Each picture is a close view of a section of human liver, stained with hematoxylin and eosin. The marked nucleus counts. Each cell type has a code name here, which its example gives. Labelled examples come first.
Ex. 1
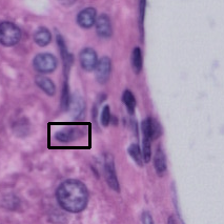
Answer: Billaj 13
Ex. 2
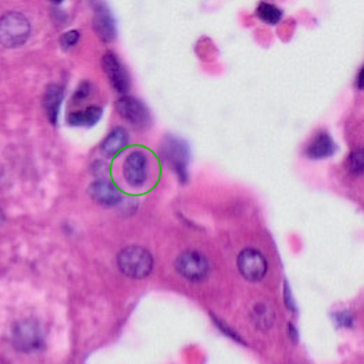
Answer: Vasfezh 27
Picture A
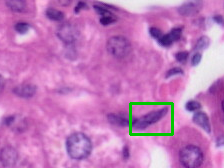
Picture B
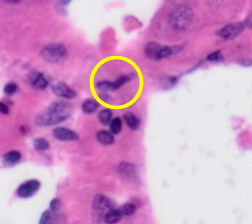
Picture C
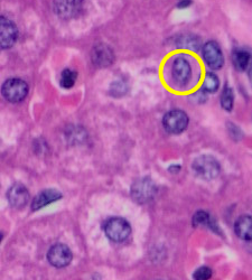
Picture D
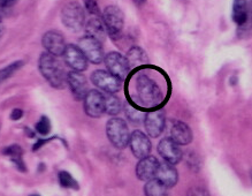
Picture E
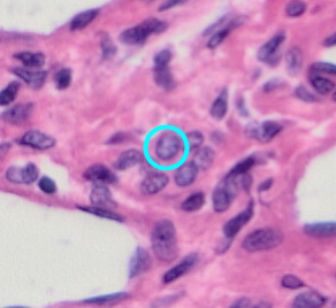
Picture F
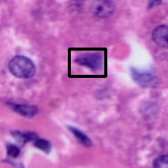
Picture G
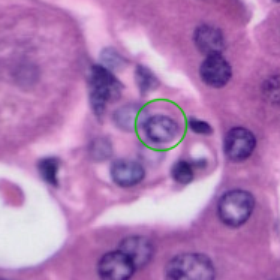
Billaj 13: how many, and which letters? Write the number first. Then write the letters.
3: A, B, F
